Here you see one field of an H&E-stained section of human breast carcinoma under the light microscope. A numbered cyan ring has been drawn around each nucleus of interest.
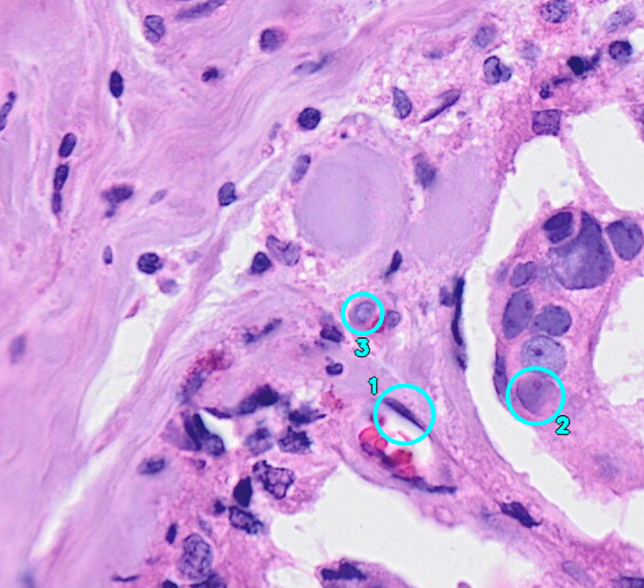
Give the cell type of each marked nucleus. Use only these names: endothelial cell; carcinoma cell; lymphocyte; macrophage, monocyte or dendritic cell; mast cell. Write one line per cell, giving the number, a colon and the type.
1: endothelial cell
2: carcinoma cell
3: endothelial cell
